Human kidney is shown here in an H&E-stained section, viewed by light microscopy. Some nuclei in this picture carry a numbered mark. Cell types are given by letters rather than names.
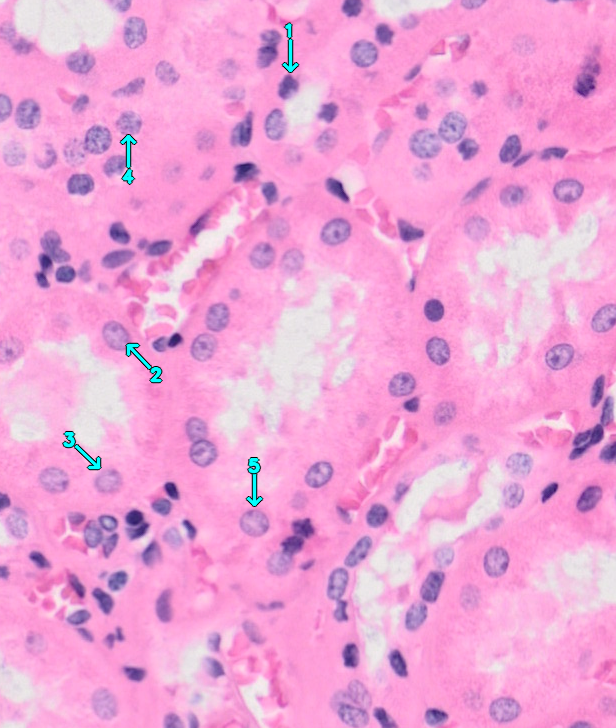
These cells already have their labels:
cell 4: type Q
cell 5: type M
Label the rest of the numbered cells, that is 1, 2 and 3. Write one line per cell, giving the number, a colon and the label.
1: type Q
2: type M
3: type M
